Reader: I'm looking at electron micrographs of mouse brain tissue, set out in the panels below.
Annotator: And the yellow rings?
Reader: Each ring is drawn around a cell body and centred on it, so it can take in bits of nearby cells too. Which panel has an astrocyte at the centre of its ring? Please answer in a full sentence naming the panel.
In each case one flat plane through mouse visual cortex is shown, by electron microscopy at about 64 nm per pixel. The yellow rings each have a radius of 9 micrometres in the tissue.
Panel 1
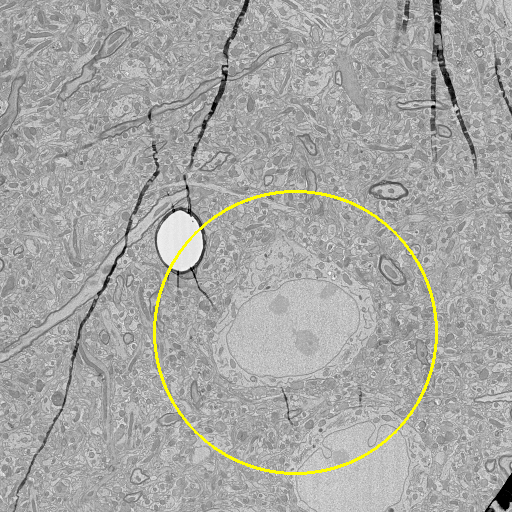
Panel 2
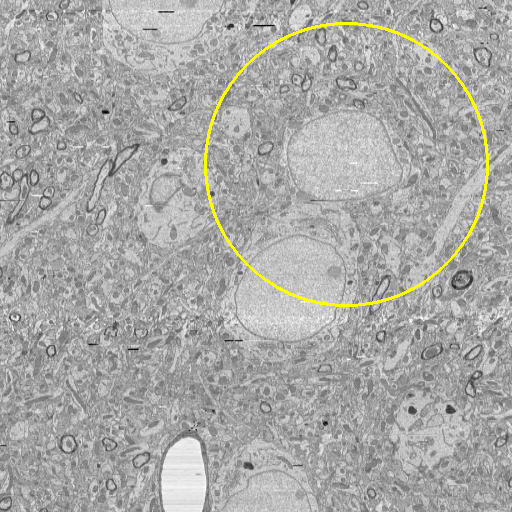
Panel 2 has it at the centre of its ring.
